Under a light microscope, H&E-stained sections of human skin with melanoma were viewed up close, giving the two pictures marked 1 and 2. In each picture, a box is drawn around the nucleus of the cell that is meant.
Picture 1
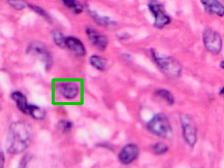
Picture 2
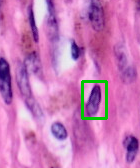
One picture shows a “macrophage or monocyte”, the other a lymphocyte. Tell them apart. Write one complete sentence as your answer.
In picture 1 the cell is a “macrophage or monocyte”; in picture 2, a lymphocyte.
